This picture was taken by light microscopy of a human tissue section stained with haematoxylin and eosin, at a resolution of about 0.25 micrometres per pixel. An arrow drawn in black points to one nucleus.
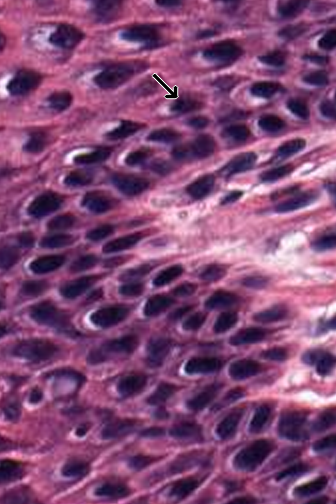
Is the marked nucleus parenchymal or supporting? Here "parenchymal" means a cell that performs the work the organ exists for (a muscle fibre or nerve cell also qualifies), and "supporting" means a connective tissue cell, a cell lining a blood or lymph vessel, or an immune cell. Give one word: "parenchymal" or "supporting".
parenchymal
